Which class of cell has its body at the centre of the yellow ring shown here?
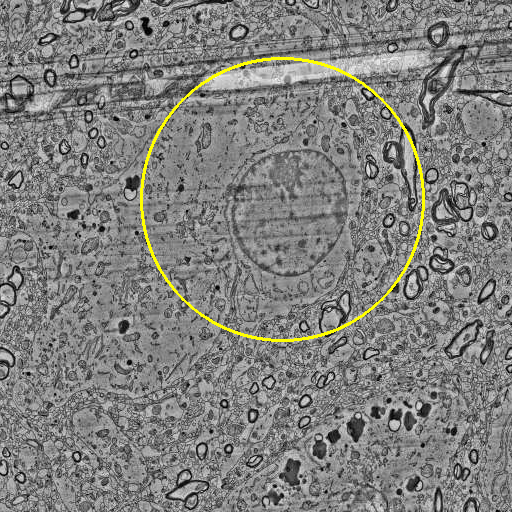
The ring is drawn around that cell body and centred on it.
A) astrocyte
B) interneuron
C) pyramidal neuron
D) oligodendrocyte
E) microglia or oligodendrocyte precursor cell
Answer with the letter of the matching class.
A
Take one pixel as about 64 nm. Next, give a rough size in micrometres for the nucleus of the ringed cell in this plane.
In this plane, the nucleus measures approximately 8 micrometres across.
